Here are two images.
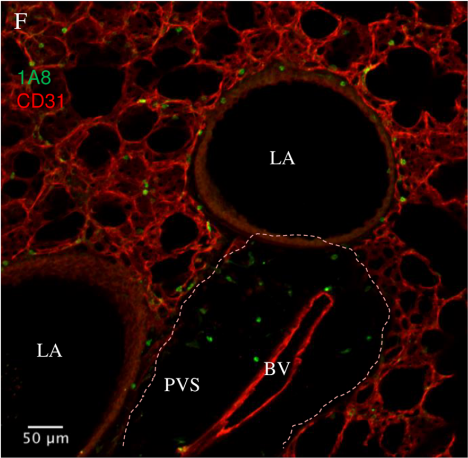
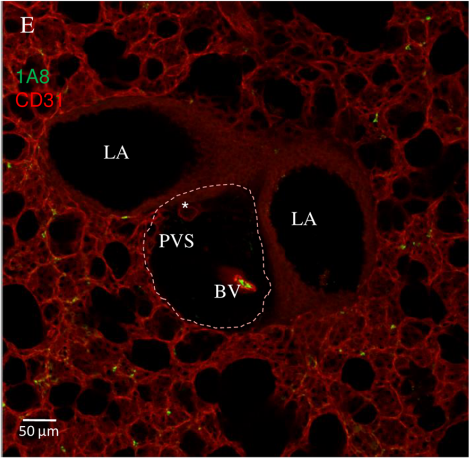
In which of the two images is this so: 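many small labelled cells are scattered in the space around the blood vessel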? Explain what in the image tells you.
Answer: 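First image: numerous green dots lie within the dashed-outlined space. Second image: the dashed-outlined space is dark with hardly any green dots outside the vessel. So: the first image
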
